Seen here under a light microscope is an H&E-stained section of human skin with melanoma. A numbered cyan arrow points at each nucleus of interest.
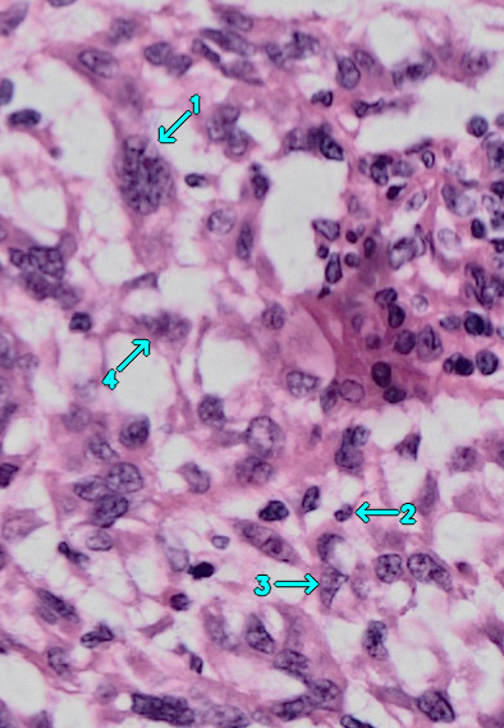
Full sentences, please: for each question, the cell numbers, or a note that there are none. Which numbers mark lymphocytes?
In this set of numbered cells, only cell 2 is a lymphocyte.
